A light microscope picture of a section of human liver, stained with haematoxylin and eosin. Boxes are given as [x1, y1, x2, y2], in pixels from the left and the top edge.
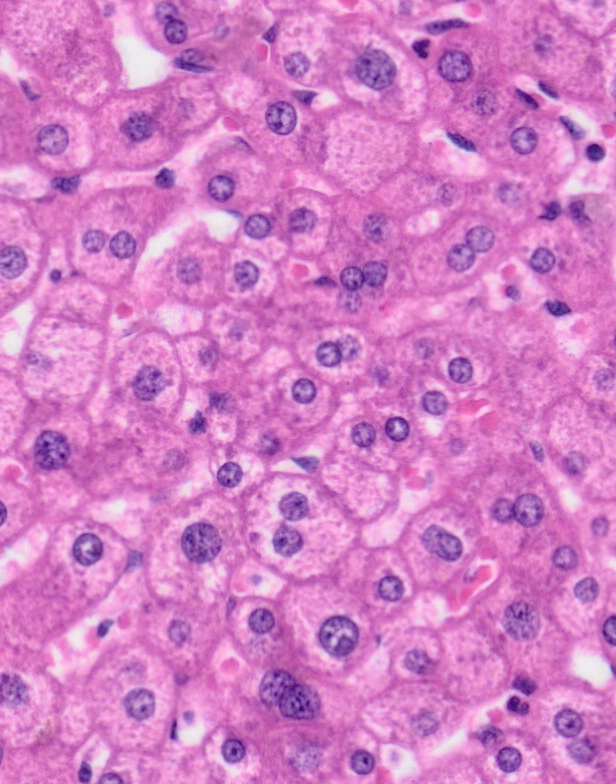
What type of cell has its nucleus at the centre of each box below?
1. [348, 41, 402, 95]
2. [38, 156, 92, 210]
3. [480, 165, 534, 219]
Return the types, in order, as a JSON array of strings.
["hepatocyte", "fibroblast or stellate cell", "hepatocyte"]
